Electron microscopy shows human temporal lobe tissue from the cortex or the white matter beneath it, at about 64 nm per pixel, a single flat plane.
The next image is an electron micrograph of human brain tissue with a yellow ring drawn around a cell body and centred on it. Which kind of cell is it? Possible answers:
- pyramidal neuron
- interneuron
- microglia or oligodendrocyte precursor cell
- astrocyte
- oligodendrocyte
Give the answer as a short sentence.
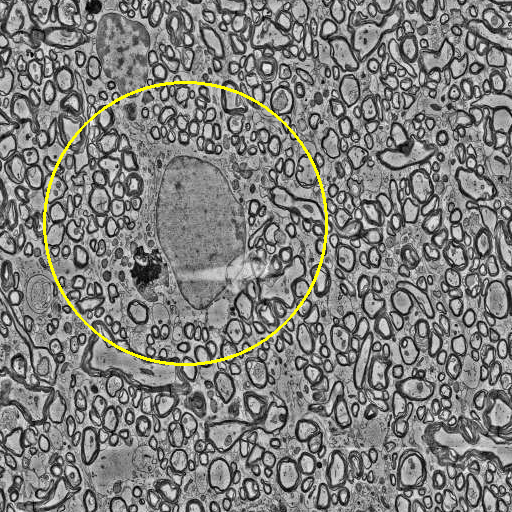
In the ring's centre is an astrocyte.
